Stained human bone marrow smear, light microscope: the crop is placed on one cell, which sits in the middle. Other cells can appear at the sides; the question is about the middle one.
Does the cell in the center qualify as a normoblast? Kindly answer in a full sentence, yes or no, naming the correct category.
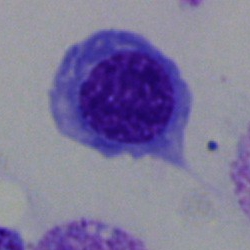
Yes, the cell at the centre is designated a normoblast.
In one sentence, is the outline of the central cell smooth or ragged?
This cell does not have a smooth edge; it is ragged or extended into projections.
